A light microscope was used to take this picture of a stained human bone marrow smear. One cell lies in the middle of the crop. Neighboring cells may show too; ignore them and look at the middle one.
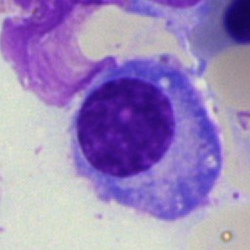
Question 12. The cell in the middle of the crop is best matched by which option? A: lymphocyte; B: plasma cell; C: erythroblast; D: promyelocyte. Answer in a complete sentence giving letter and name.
The cell centered in the crop is a plasma cell, making option B the correct pick.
